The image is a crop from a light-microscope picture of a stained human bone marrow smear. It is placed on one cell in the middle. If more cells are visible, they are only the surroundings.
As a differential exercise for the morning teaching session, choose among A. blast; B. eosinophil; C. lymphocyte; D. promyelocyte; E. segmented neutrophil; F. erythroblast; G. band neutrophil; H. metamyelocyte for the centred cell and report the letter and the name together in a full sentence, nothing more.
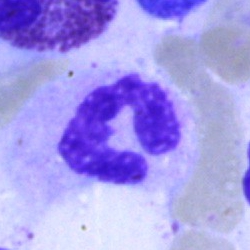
Option E is right in identifying the central cell as a segmented neutrophil.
